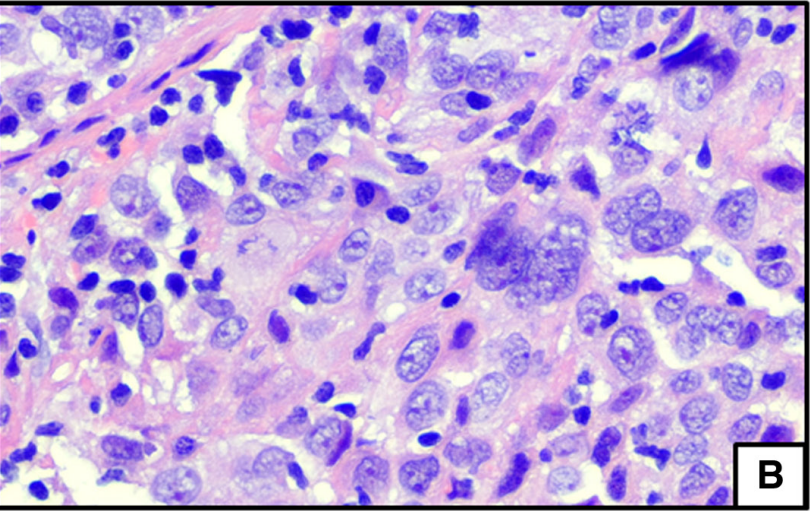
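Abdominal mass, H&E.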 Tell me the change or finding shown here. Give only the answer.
Large and pleomorphic.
